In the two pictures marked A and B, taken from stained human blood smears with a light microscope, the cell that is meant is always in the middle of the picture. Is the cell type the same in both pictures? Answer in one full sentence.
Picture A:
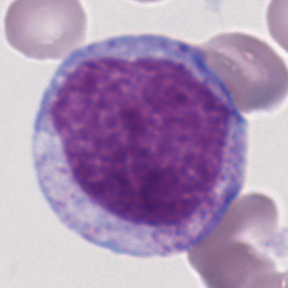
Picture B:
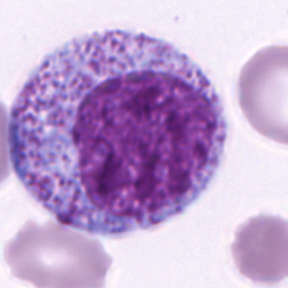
Yes, the two pictures both show promyelocytes.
